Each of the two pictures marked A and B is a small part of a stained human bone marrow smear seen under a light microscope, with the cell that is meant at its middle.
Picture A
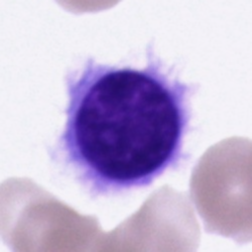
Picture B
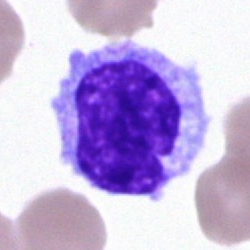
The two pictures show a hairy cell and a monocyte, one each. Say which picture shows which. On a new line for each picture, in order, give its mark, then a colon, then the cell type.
A: hairy cell
B: monocyte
